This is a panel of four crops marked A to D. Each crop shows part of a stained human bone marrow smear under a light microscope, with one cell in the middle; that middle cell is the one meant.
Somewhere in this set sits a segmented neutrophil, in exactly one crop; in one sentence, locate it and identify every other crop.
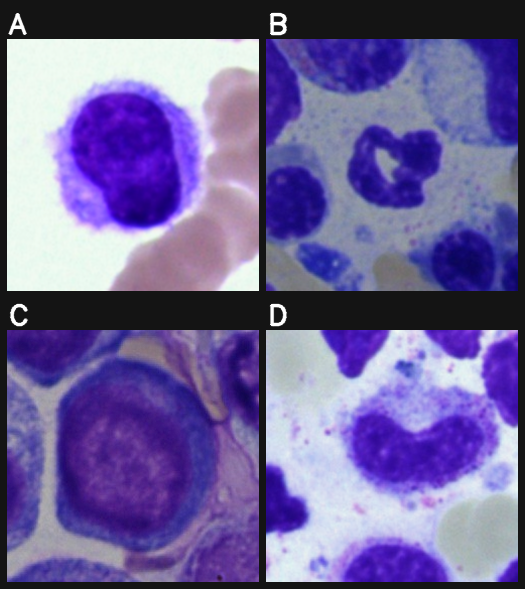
Here crop B shows a segmented neutrophil, while crop A is a hairy cell, crop C is a proerythroblast and crop D is a band neutrophil.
